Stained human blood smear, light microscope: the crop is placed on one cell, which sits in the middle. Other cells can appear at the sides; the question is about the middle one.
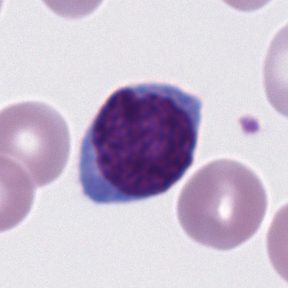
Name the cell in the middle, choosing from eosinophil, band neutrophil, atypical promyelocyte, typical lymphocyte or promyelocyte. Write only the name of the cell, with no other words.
typical lymphocyte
